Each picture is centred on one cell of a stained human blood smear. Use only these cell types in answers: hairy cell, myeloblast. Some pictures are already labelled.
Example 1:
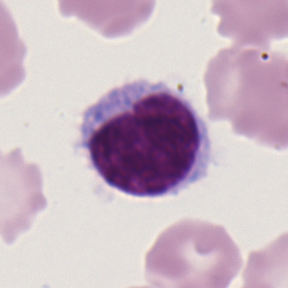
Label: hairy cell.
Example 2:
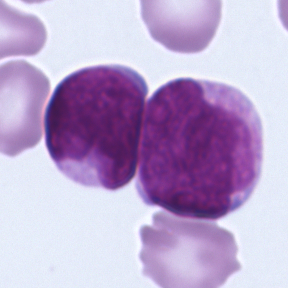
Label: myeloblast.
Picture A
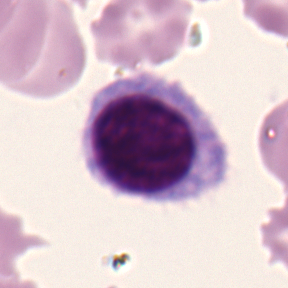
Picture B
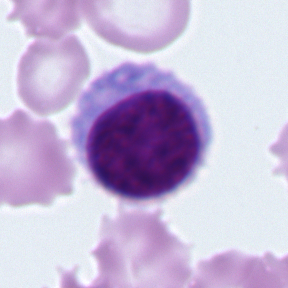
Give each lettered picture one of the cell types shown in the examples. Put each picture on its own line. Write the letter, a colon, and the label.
A: hairy cell.
B: hairy cell.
